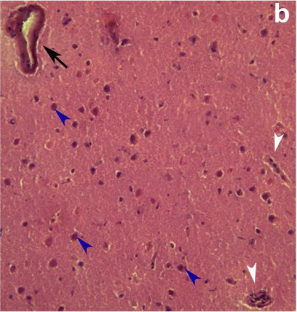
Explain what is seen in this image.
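Dark purple round to oval nuclei are scattered sparsely in a pink fibrillar background. At the upper left one vessel has an irregular, folded, dilated shape with a thick darker wall, differing from the other small regular vessels. The remaining tissue shows no crowding of cells.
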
